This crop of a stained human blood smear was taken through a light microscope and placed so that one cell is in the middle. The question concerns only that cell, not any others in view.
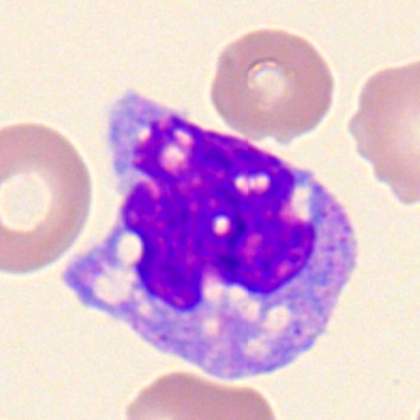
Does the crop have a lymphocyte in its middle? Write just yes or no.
no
